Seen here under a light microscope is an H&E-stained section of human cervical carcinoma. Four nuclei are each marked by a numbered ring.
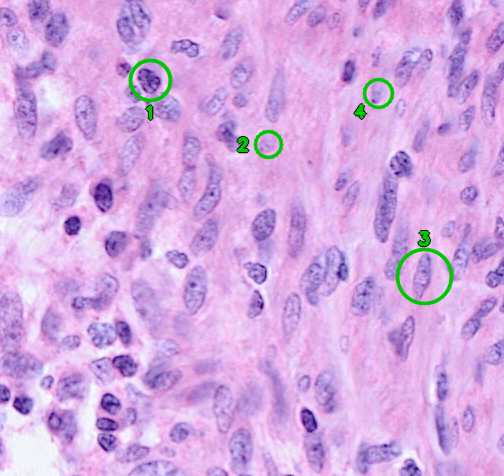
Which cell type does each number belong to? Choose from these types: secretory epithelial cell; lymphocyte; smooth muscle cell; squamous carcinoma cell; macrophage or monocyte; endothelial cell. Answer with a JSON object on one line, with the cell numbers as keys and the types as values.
{"1": "lymphocyte", "2": "smooth muscle cell", "3": "smooth muscle cell", "4": "smooth muscle cell"}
